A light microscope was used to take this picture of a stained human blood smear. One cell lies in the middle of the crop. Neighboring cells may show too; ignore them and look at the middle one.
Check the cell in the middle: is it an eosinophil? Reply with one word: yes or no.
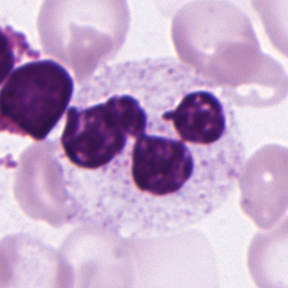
no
